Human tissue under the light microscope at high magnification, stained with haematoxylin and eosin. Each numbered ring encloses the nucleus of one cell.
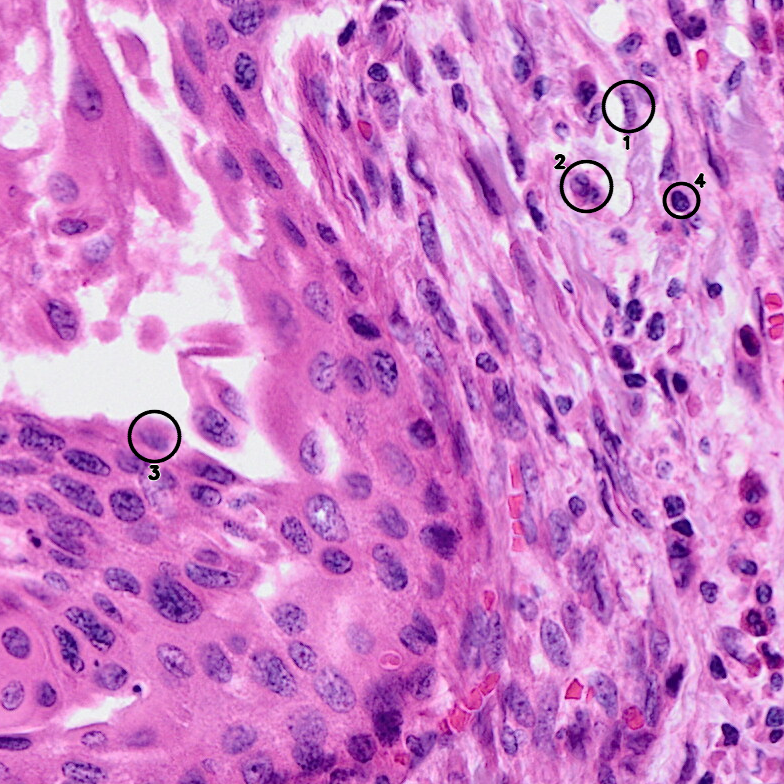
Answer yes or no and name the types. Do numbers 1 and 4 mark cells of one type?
No, cell 1 is identified as a fibroblast, and cell 4 is identified as a lymphocyte.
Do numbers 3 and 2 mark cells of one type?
No, the cell labelled 3 is a squamous carcinoma cell; the cell labelled 2 is a macrophage or monocyte.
